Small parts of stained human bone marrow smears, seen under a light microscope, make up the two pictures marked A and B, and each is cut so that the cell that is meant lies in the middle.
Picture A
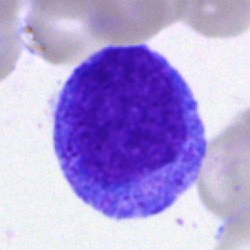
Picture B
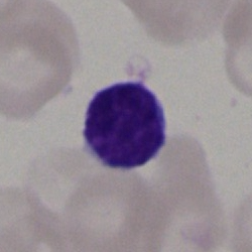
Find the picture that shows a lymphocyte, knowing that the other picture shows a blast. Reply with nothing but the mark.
B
